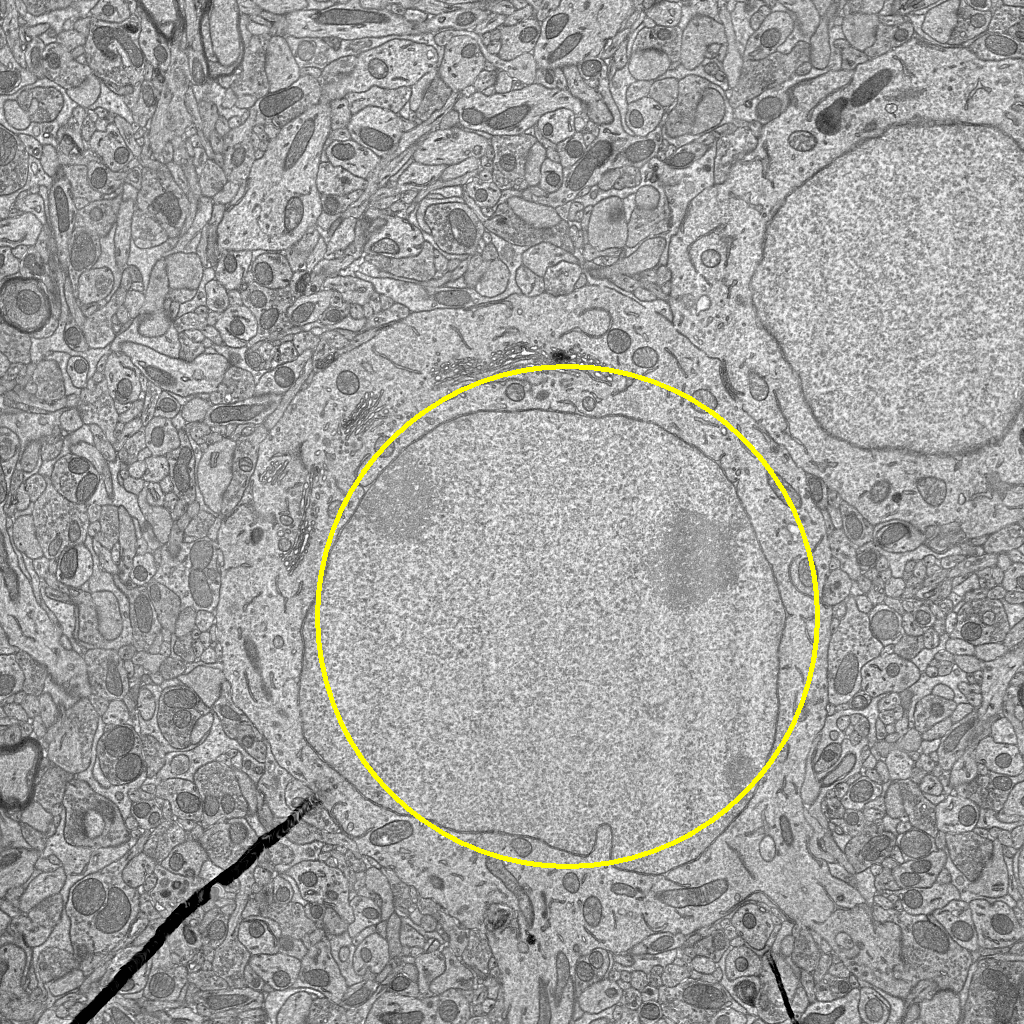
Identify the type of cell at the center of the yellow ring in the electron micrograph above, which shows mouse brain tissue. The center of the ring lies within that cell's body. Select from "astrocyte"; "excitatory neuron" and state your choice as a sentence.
The center of the yellow ring lies in the body of an excitatory neuron.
